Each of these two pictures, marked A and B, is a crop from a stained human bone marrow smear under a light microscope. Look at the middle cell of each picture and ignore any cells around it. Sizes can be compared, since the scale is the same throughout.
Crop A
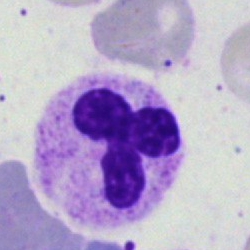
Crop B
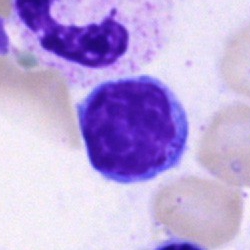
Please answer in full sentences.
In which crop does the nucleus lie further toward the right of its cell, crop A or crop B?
In crop A the nucleus is shifted more toward the right.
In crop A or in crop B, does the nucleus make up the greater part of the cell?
In crop B the nucleus takes up the larger part of its cell.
